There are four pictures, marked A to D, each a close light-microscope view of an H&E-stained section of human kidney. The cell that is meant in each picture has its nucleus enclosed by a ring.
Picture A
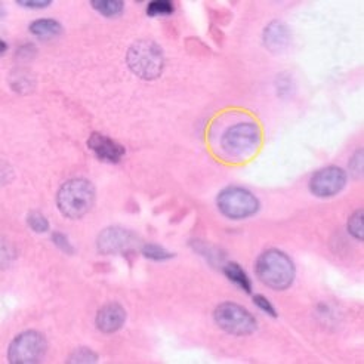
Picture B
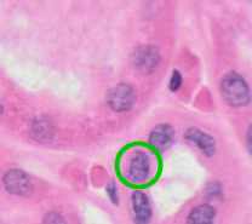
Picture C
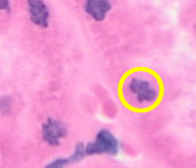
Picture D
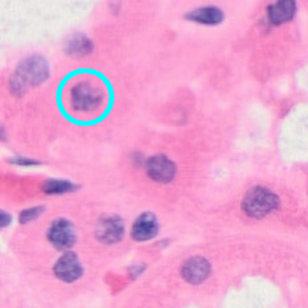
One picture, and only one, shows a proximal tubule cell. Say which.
C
